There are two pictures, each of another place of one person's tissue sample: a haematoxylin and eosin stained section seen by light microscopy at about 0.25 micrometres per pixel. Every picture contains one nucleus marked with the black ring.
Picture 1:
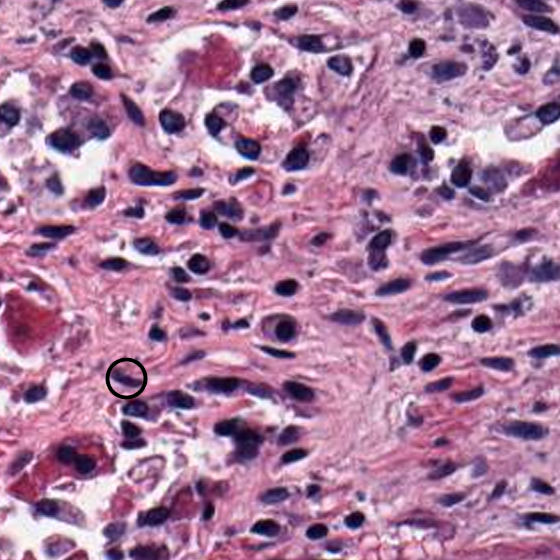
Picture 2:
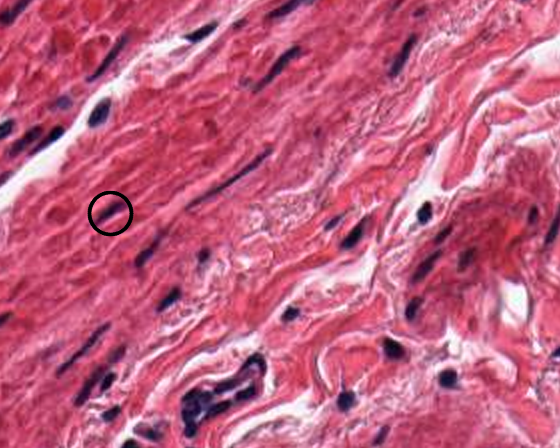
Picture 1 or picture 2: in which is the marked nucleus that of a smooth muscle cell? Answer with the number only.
2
